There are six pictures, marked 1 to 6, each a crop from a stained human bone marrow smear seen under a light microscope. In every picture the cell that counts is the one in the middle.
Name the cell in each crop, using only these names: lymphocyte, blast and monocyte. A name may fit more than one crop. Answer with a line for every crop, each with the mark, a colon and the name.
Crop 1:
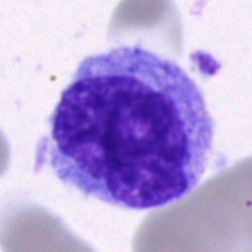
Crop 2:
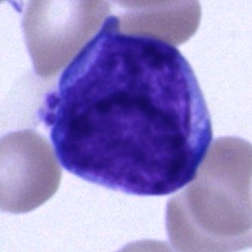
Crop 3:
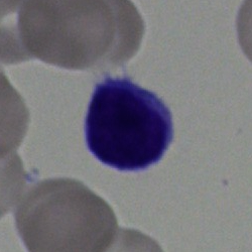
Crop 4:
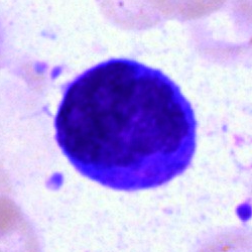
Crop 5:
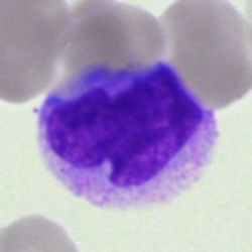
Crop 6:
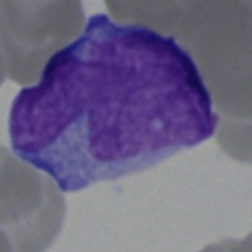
1: monocyte
2: blast
3: lymphocyte
4: blast
5: monocyte
6: blast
